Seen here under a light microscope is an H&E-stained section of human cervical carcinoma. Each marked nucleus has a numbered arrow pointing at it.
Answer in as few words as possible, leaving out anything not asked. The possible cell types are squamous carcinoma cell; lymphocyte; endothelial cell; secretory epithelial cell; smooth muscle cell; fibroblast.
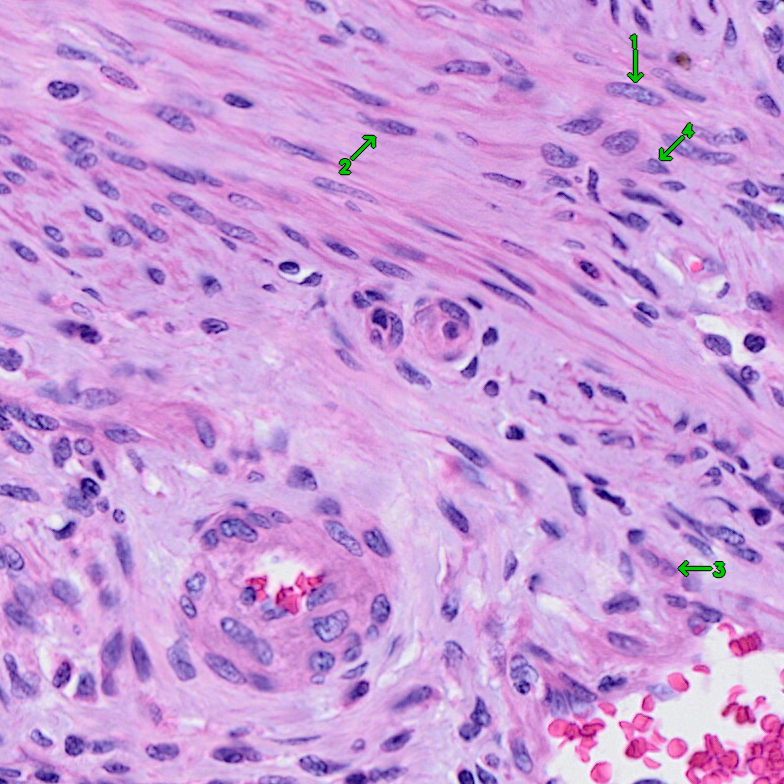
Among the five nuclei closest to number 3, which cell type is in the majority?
endothelial cell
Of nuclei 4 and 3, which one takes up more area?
4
